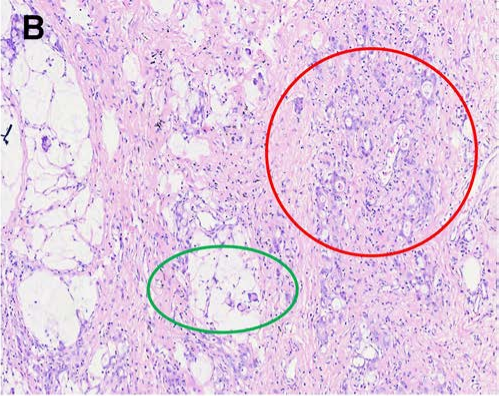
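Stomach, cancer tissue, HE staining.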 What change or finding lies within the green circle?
mucinous adenocarcinoma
